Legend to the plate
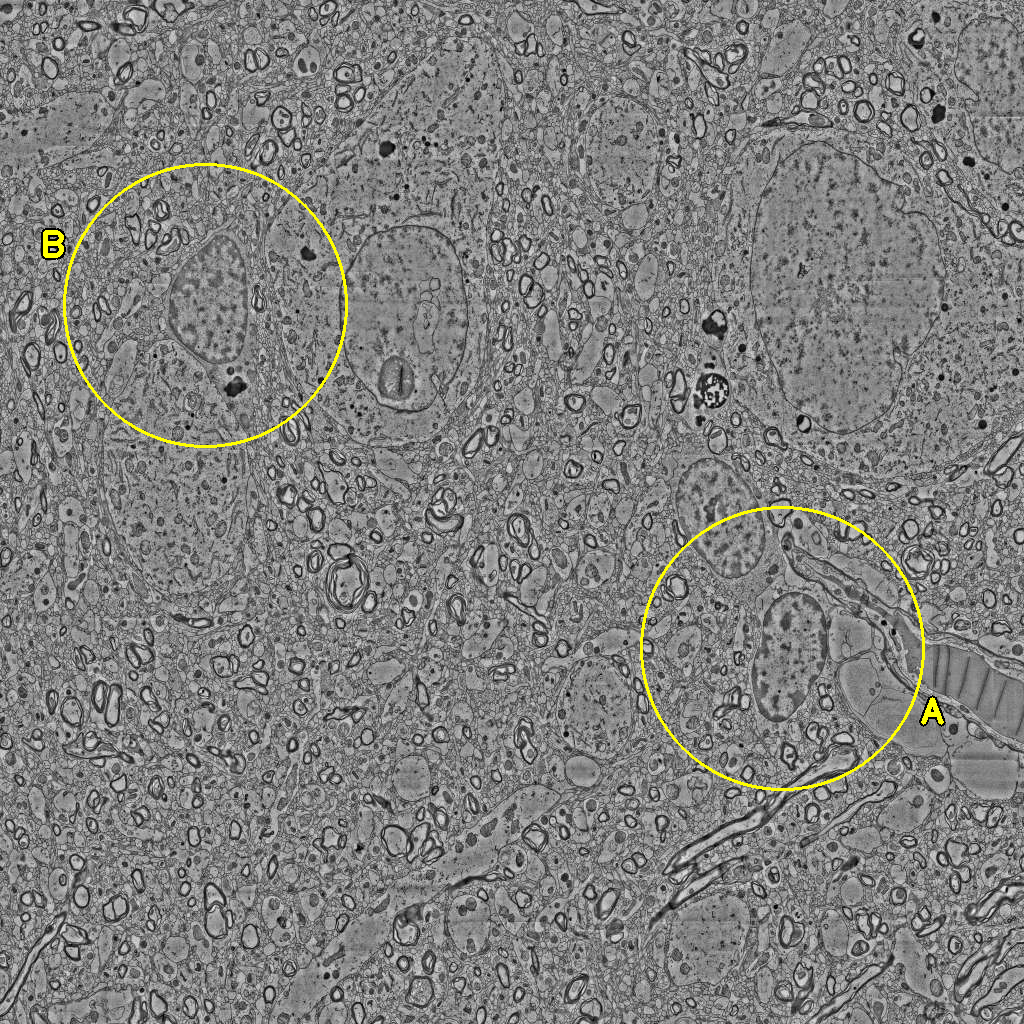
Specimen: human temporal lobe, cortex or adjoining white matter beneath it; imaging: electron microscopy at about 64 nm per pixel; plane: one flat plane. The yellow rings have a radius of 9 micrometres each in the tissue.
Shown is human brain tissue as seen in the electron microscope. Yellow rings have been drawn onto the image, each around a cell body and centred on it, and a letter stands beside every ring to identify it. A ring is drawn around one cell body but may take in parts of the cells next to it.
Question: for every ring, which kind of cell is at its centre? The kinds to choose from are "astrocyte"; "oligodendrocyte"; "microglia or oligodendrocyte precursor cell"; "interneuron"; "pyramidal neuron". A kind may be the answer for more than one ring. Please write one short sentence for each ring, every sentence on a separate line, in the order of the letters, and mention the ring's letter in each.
The kind of cell at the centre of ring A is a microglial cell or oligodendrocyte precursor cell.
The kind of cell at the centre of ring B is an oligodendrocyte.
